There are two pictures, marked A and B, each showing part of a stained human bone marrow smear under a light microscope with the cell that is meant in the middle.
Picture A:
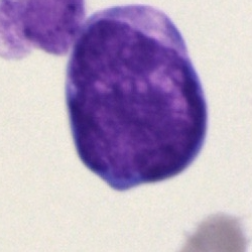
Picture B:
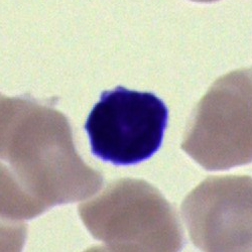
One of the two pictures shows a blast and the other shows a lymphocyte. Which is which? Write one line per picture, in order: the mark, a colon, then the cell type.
A: blast
B: lymphocyte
